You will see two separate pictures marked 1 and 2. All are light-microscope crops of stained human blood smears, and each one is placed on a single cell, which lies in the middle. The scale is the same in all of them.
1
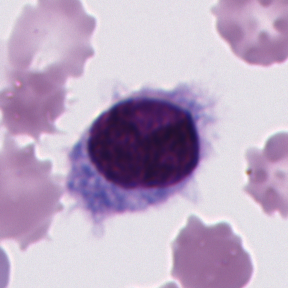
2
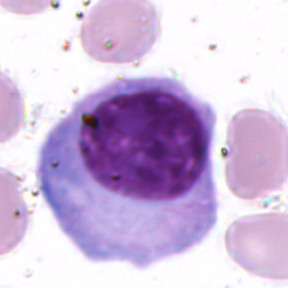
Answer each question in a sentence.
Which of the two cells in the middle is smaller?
The cell in crop 1 is smaller; the one in crop 2 has about 2 times its area.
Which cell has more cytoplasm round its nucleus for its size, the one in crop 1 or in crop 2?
The nucleus fills less of the cell in crop 2 than in crop 1.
